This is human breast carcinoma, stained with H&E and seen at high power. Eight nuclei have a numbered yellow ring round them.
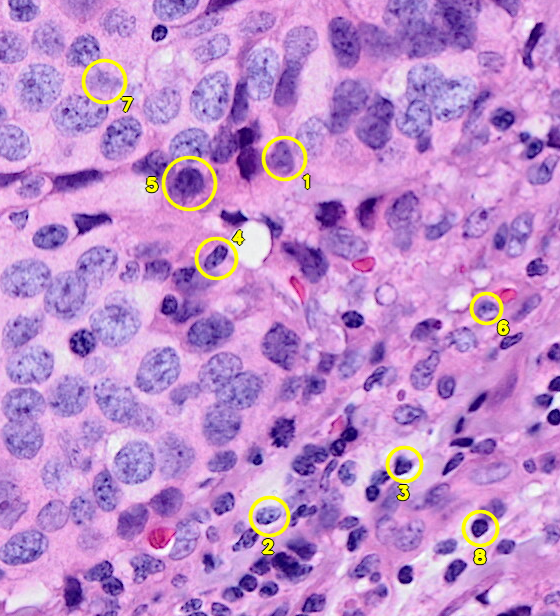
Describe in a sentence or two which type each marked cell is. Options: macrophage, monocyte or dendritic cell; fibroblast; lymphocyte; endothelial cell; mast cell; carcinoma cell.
Cells 1, 5 and 7 are carcinoma cells. Cells 2, 3, 4 and 8 are lymphocytes. Cell 6 is an endothelial cell.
